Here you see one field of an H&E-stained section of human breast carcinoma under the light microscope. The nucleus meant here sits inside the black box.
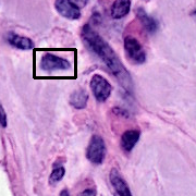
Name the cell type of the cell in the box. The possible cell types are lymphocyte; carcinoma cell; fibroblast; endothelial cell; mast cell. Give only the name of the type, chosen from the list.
lymphocyte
